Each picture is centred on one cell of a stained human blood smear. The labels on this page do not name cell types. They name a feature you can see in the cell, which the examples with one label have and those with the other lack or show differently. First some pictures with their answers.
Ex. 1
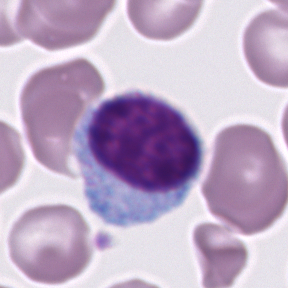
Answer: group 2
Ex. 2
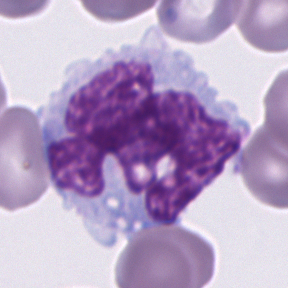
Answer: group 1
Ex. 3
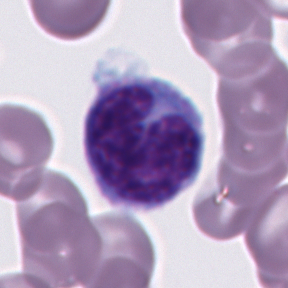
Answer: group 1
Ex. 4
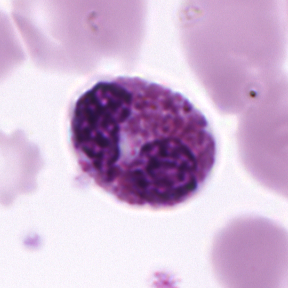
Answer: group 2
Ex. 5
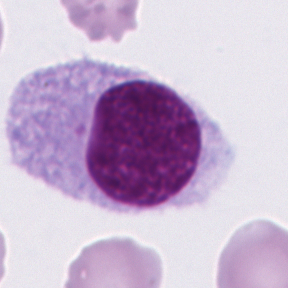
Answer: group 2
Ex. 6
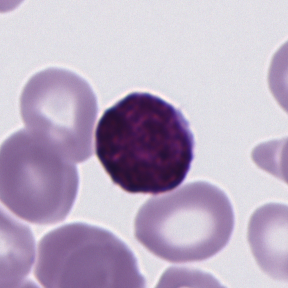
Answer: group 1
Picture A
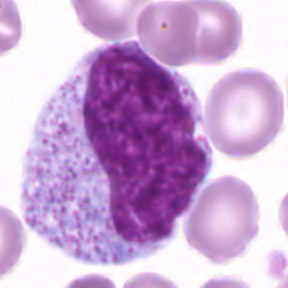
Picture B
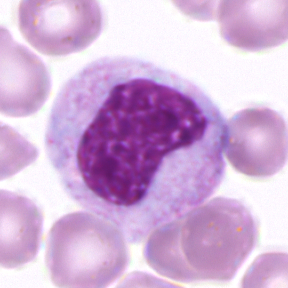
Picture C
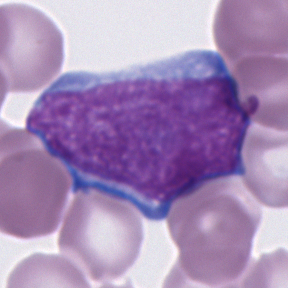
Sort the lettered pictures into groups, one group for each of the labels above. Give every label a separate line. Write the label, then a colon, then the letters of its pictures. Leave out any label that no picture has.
group 2: A, B
group 1: C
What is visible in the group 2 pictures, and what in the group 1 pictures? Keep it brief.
group 2: abundant cytoplasm; group 1: scant cytoplasm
